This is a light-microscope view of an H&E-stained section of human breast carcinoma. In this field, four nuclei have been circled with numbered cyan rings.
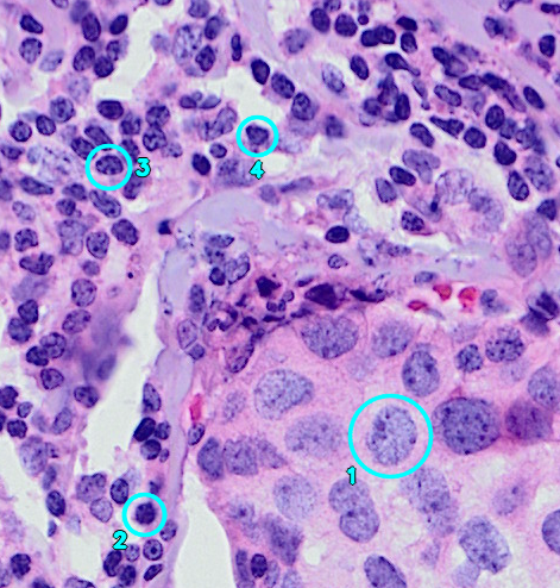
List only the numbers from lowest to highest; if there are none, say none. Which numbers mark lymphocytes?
2, 3, 4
